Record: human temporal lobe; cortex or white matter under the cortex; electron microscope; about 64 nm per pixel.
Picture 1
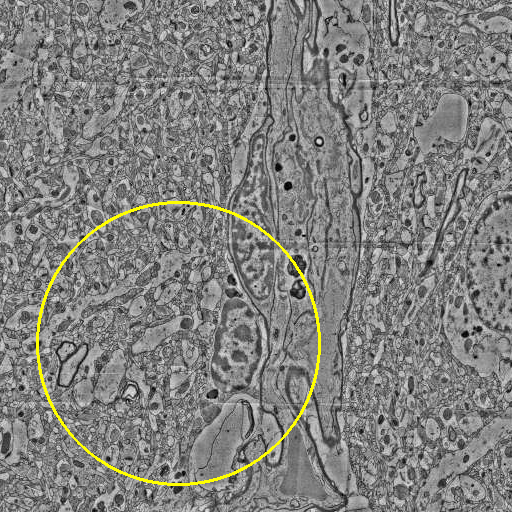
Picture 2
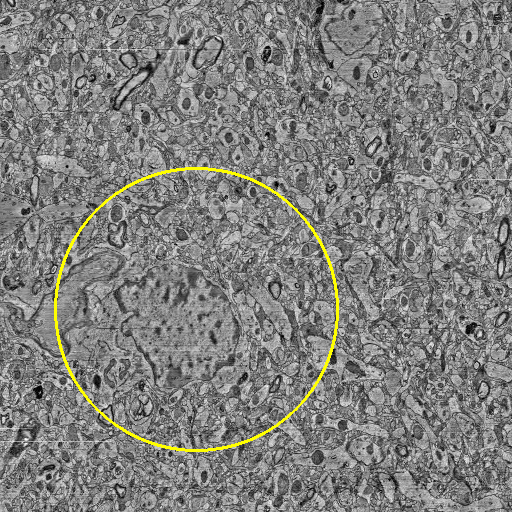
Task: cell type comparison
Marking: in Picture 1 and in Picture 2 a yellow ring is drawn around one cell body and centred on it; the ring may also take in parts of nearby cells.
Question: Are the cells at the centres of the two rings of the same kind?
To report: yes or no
yes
